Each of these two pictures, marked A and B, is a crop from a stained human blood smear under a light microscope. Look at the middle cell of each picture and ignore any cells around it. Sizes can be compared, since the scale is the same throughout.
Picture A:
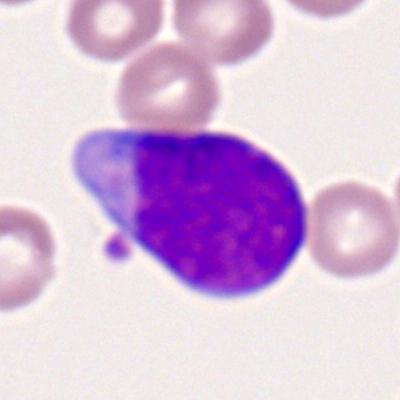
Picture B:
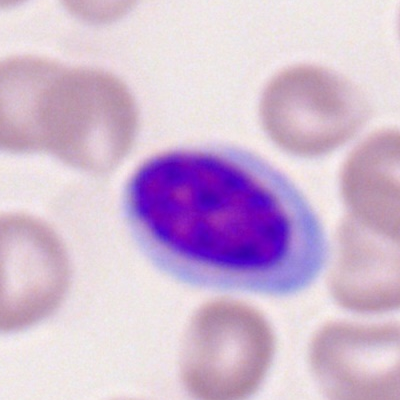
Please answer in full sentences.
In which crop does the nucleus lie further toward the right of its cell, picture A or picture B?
Seen within its cell, the nucleus in picture A lies further toward the right.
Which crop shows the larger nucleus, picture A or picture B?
The nucleus in picture A is larger, with about 1.5 times the area of the one in picture B.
